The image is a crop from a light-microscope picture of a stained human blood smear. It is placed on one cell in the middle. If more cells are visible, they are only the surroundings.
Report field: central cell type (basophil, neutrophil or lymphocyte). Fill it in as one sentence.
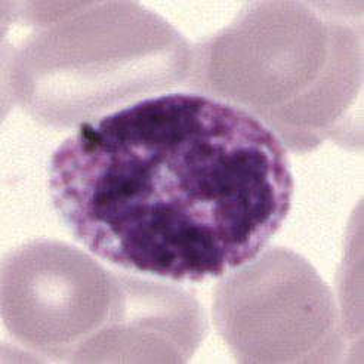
The cell found in the middle of this crop is a basophil.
